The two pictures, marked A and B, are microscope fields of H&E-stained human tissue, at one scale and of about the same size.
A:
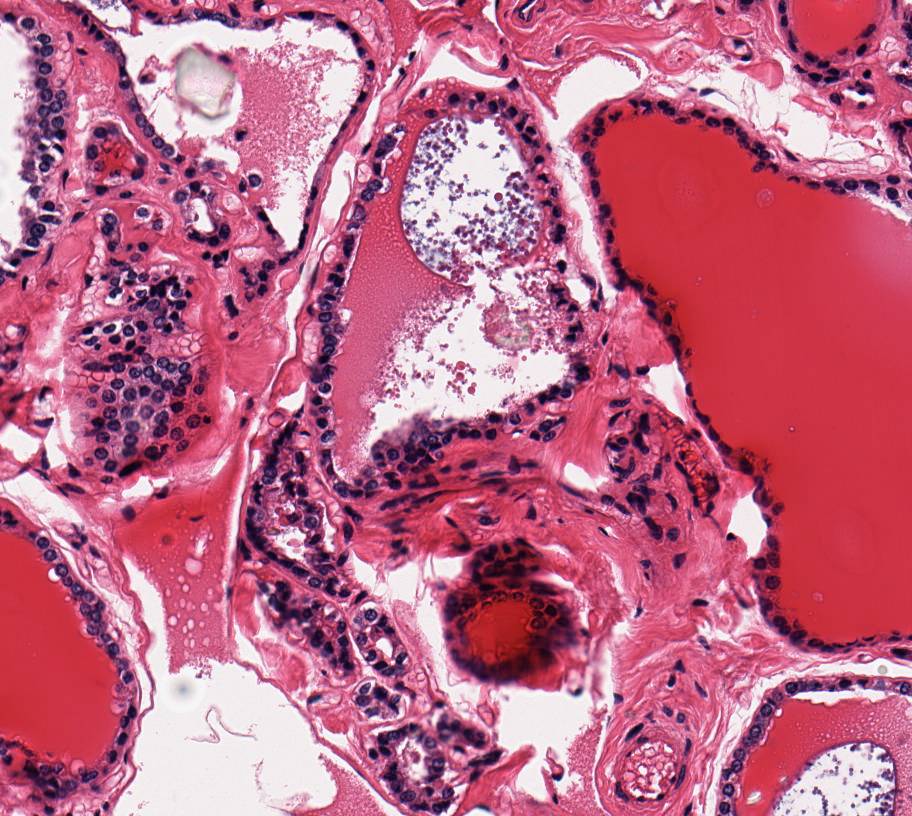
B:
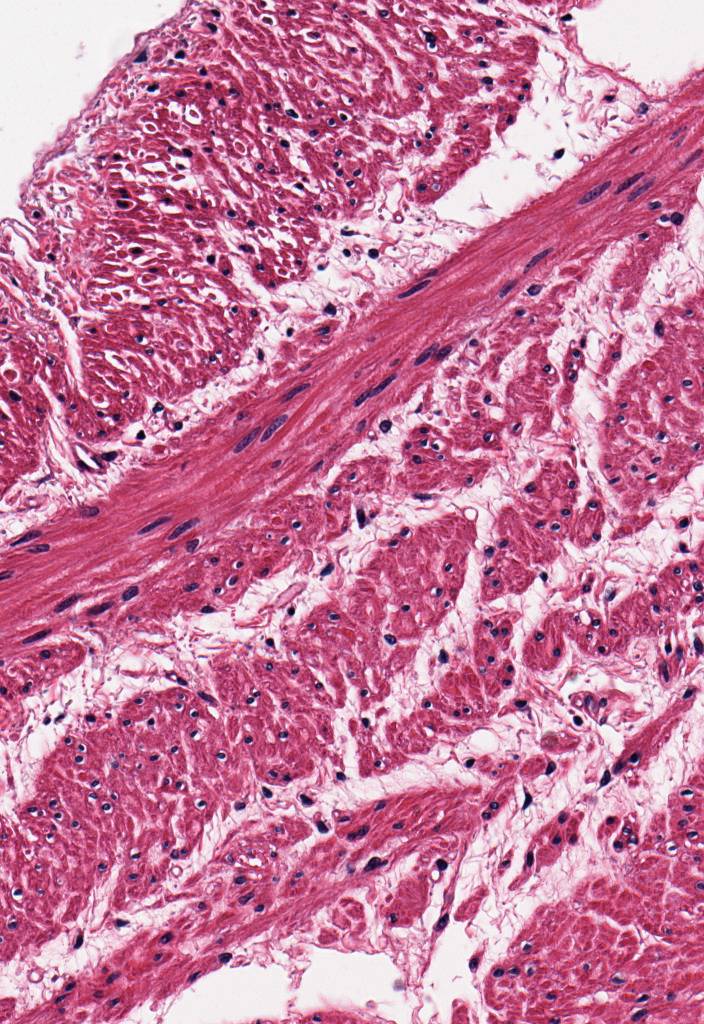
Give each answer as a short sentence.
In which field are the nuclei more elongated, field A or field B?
It is field A whose nuclei are the more elongated.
